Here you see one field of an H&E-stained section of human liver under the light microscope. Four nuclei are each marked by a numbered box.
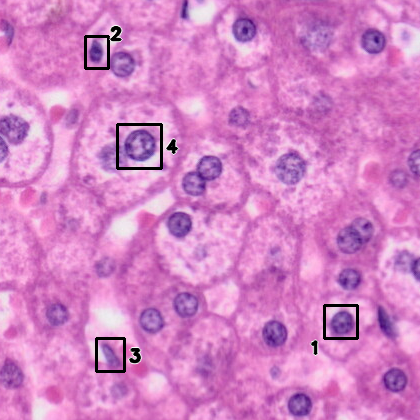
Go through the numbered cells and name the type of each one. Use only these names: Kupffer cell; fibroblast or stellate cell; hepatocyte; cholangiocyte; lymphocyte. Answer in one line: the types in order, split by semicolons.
hepatocyte; lymphocyte; Kupffer cell; hepatocyte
